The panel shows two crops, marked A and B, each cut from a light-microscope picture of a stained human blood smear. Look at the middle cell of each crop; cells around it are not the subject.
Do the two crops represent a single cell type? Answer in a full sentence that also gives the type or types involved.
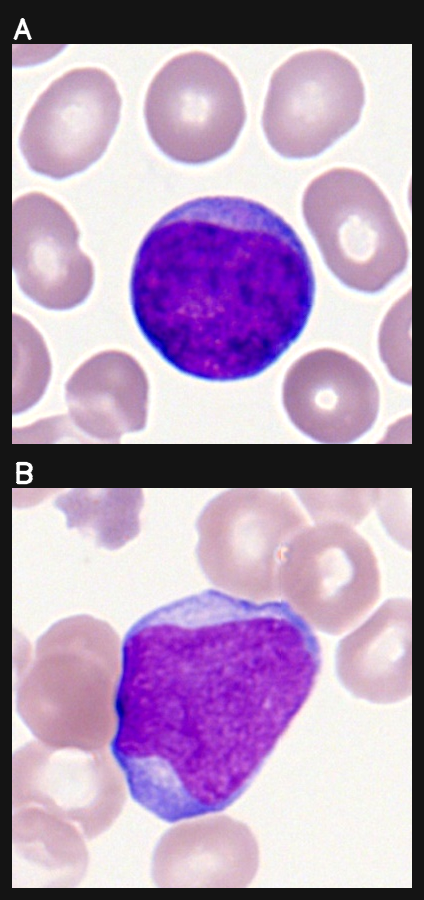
Yes, the central cells in both crops are blasts.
